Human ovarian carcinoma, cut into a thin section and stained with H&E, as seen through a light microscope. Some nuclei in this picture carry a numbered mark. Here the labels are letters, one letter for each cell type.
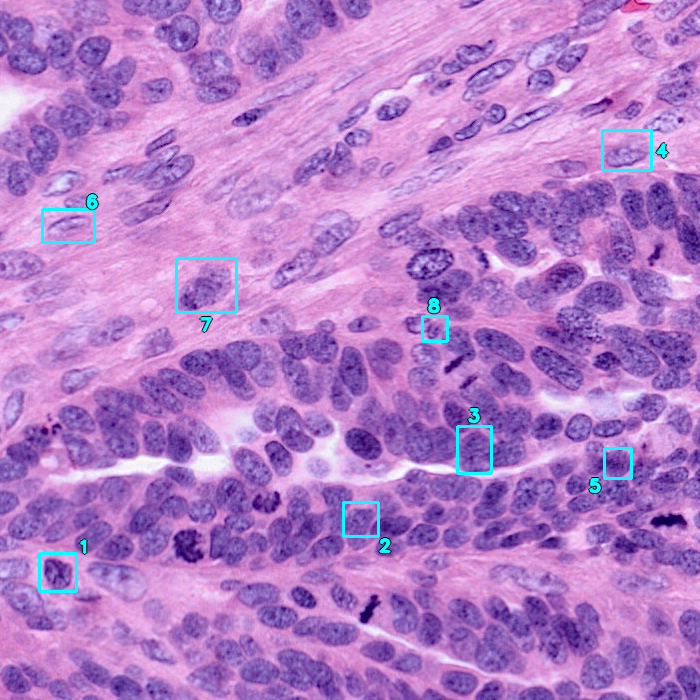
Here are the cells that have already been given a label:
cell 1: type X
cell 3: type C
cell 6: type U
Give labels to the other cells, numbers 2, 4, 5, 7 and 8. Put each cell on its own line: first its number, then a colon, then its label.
2: type C
4: type U
5: type C
7: type U
8: type X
